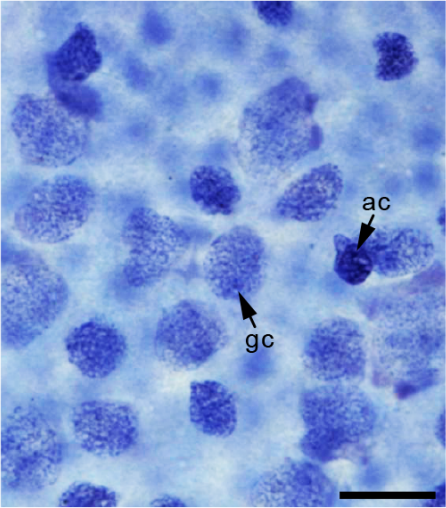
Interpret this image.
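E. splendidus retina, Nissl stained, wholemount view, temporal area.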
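Smaller amacrine cells are more compact and irregular and stain a darker, more even blue. The cells lie separated by pale gaps rather than packed tightly together. Some cell bodies lie slightly out of focus at other depths.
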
